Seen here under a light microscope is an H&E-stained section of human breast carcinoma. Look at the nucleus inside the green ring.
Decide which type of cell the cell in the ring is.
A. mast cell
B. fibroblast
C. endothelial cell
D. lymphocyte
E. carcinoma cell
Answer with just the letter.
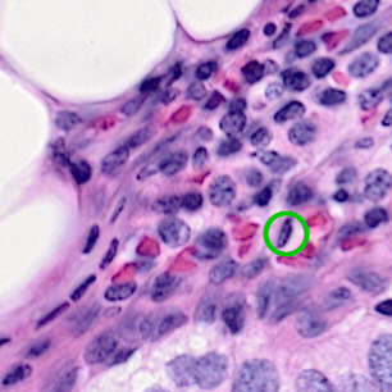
C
